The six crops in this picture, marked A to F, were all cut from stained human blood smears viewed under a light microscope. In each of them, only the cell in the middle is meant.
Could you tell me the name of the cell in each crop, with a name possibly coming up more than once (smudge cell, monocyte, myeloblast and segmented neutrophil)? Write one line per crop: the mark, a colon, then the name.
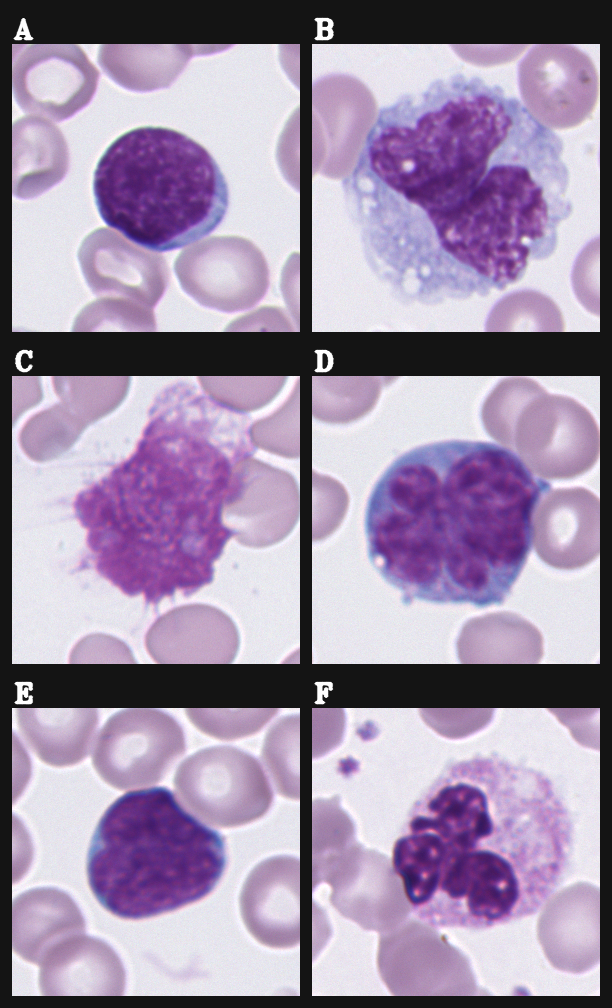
A: myeloblast
B: monocyte
C: smudge cell
D: myeloblast
E: myeloblast
F: segmented neutrophil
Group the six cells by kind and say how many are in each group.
myeloblast: 3
monocyte: 1
smudge cell: 1
segmented neutrophil: 1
